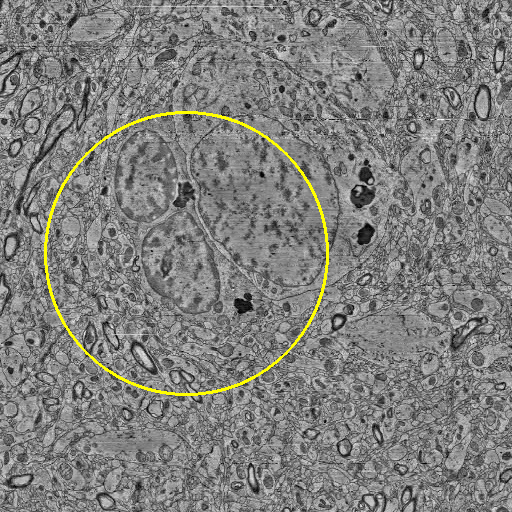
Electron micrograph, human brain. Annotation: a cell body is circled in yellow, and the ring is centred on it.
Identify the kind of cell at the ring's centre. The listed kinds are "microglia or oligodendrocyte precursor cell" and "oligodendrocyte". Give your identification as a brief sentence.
The circled cell body is that of an oligodendrocyte.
